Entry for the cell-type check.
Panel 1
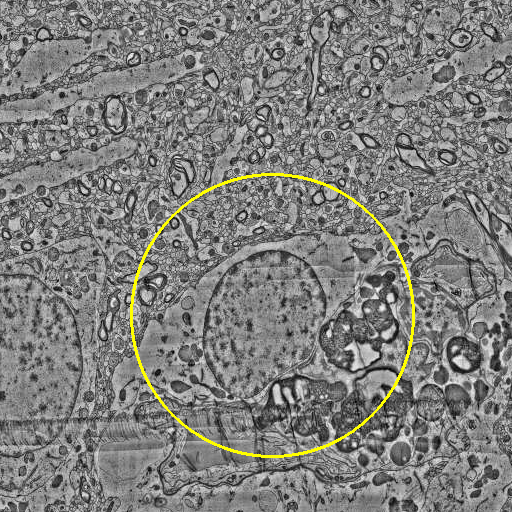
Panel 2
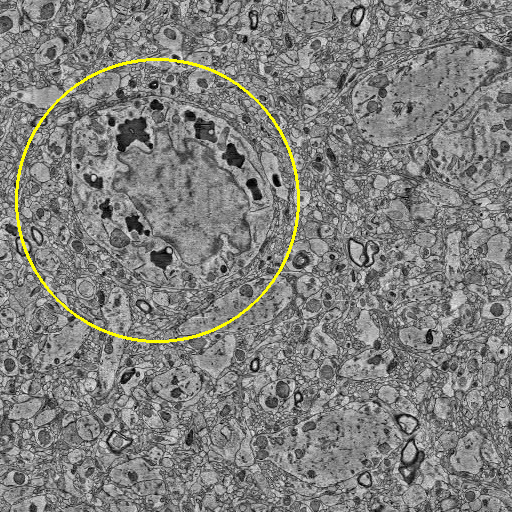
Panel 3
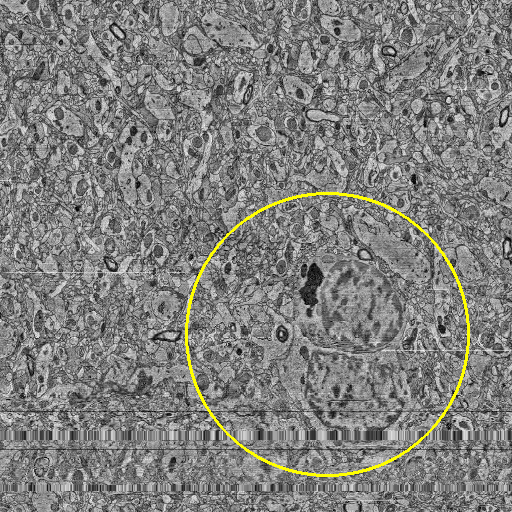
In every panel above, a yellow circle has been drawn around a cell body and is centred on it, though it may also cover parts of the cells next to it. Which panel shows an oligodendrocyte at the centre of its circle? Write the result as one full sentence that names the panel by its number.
Panel 3 shows it at the centre of its circle.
